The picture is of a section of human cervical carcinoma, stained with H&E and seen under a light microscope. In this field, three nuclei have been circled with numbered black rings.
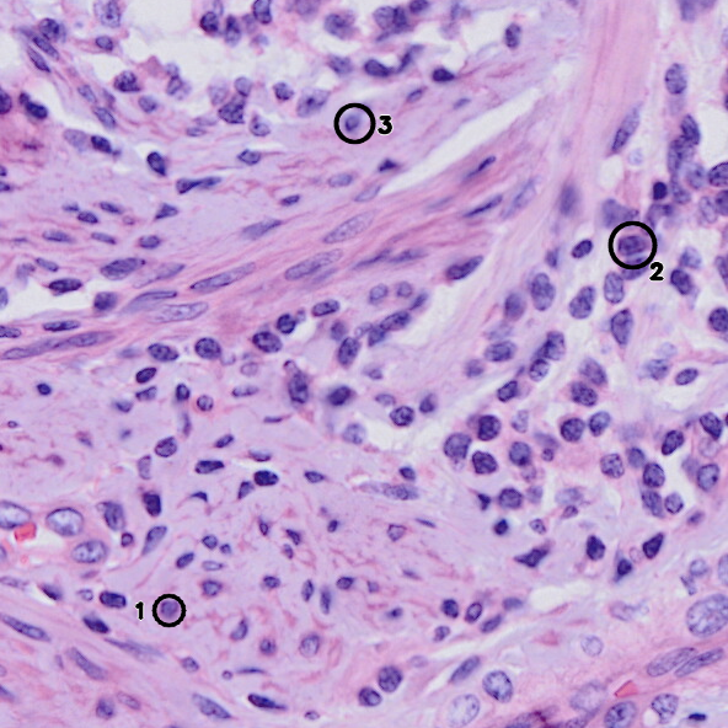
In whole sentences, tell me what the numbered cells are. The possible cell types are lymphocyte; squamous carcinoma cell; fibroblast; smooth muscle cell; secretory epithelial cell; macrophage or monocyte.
Cell 1 is a smooth muscle cell. Cells 2 and 3 are lymphocytes.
